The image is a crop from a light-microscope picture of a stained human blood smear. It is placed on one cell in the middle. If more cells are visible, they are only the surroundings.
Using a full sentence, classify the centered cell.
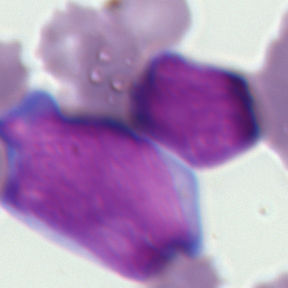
The cell shown in the center of this light-microscope crop is a myeloblast.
